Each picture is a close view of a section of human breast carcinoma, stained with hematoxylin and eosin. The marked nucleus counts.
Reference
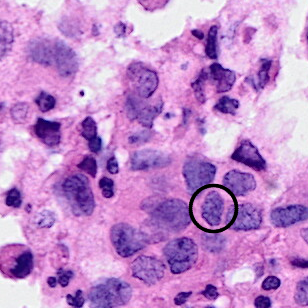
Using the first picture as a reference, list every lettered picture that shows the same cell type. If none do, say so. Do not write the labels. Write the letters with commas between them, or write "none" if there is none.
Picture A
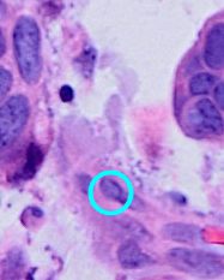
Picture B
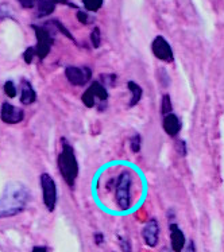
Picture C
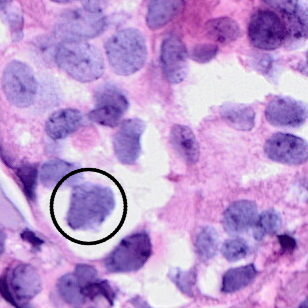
C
